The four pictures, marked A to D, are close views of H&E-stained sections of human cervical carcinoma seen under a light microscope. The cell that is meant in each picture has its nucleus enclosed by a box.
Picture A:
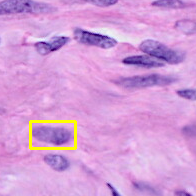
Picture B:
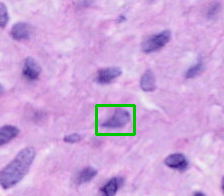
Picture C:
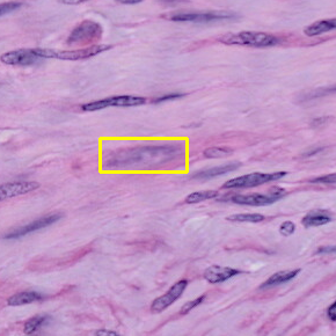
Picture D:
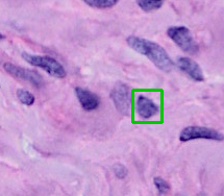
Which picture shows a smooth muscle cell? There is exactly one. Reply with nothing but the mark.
C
